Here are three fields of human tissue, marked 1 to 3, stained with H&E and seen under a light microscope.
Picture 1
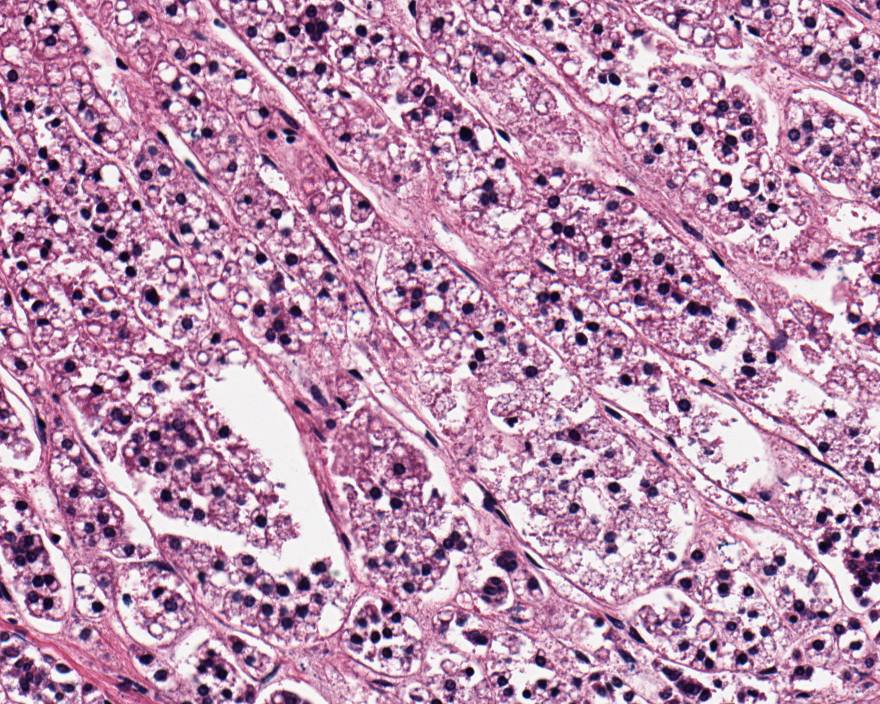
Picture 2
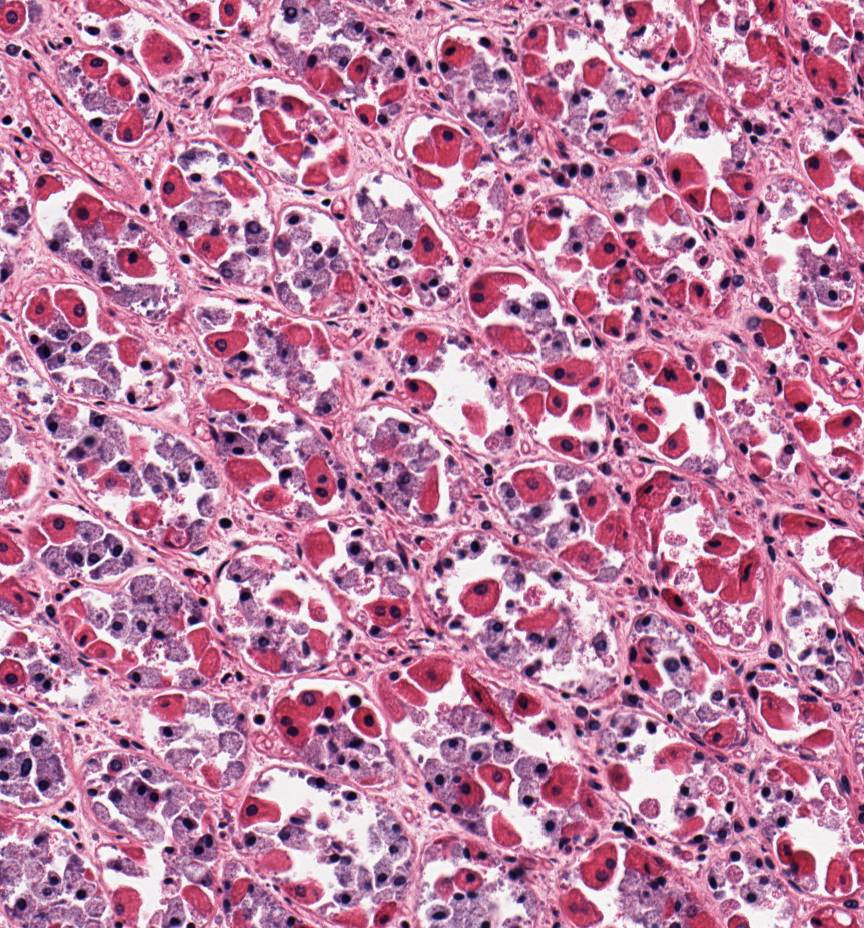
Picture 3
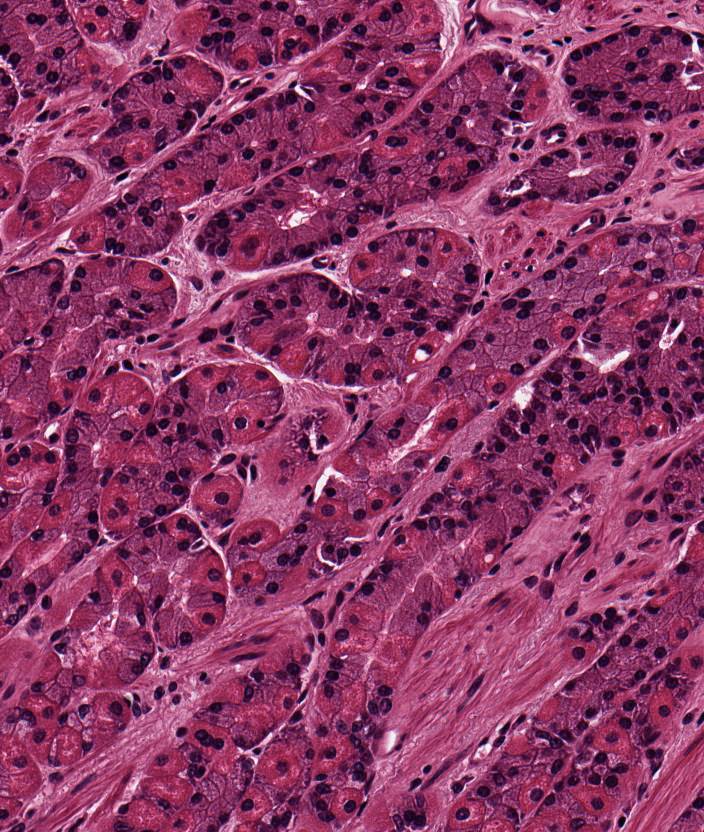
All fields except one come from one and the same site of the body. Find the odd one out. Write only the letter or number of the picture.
1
